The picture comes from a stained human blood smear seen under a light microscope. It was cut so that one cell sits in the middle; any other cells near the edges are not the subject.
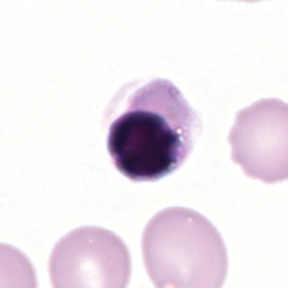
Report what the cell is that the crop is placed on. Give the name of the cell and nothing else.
normoblast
